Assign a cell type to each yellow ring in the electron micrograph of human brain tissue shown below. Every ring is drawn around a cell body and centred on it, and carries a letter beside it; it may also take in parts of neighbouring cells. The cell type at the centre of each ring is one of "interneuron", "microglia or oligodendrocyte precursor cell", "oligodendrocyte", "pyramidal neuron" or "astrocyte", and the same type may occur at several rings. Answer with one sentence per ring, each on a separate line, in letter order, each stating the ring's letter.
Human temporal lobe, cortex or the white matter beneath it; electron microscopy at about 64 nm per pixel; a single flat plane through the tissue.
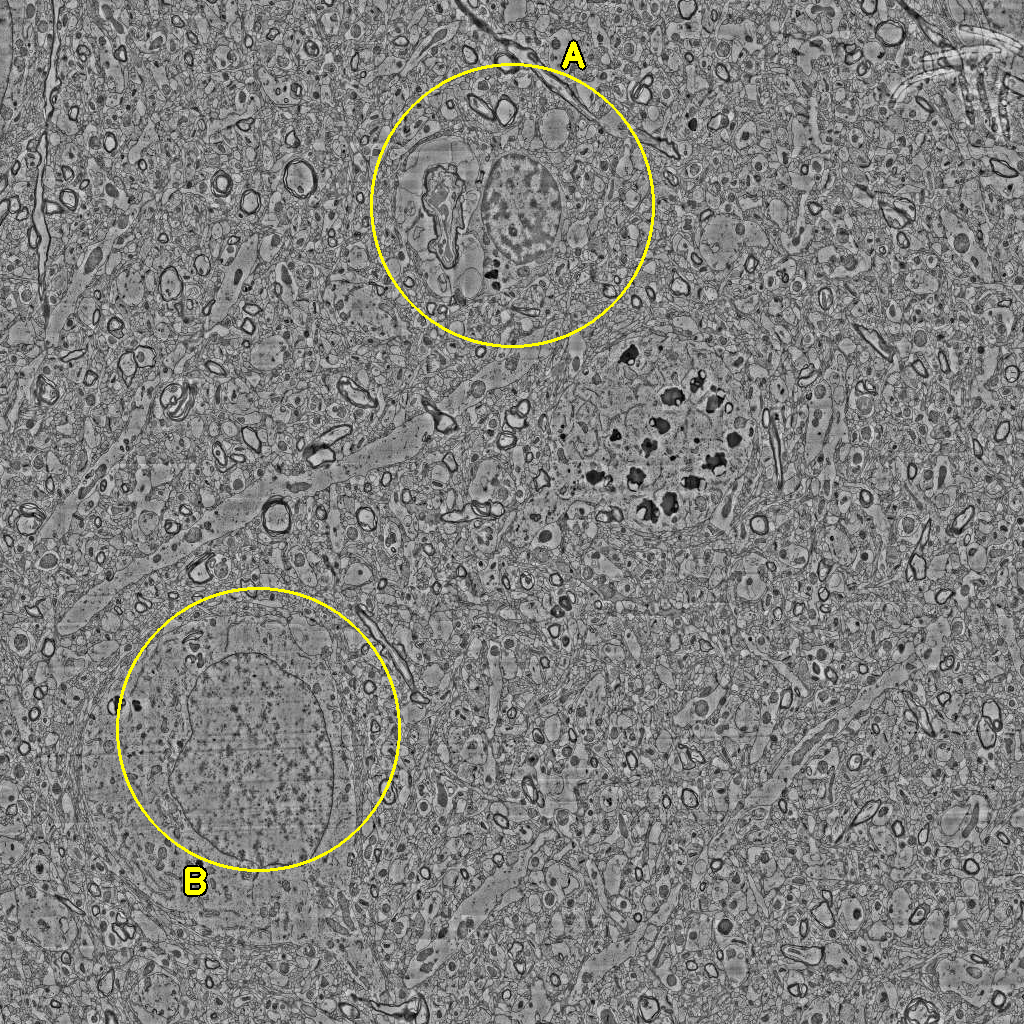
The cell at ring A's centre is an oligodendrocyte.
The cell at ring B's centre is a pyramidal neuron.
